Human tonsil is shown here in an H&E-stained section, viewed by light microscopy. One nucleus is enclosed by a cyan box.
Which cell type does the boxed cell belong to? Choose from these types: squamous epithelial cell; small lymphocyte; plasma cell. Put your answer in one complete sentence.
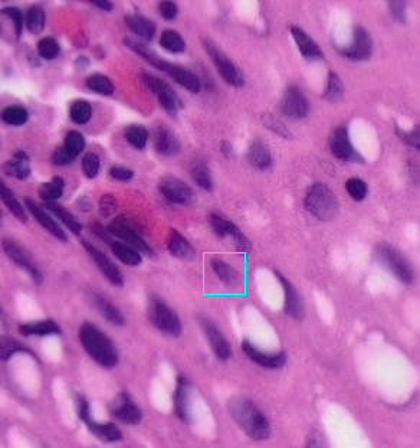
The cell type of the boxed cell is that of a squamous epithelial cell.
